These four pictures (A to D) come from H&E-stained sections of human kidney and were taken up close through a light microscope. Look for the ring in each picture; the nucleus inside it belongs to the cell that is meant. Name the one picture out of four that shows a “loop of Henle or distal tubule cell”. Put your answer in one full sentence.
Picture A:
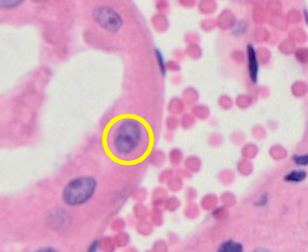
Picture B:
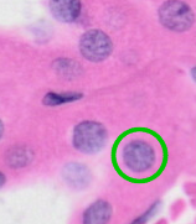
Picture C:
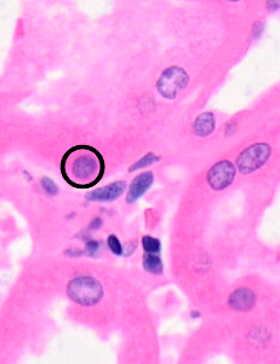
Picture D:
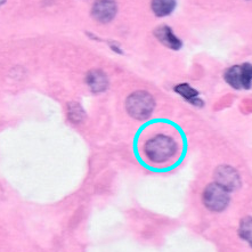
The “loop of Henle or distal tubule cell” is the one in picture B.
